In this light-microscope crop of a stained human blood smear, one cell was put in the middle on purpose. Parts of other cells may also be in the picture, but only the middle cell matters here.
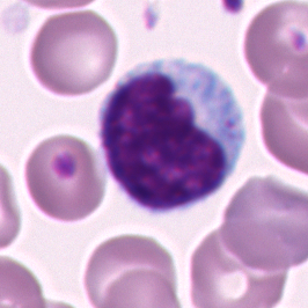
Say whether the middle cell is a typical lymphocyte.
yes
